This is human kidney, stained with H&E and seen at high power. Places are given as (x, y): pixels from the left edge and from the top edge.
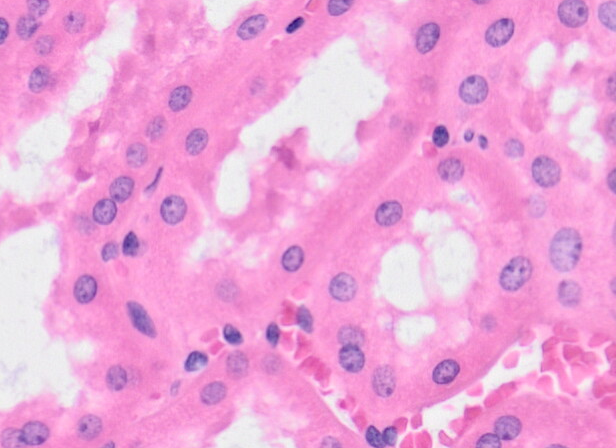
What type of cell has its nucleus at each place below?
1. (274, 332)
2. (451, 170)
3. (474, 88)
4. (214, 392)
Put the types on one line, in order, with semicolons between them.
endothelial cell; proximal tubule cell; proximal tubule cell; proximal tubule cell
